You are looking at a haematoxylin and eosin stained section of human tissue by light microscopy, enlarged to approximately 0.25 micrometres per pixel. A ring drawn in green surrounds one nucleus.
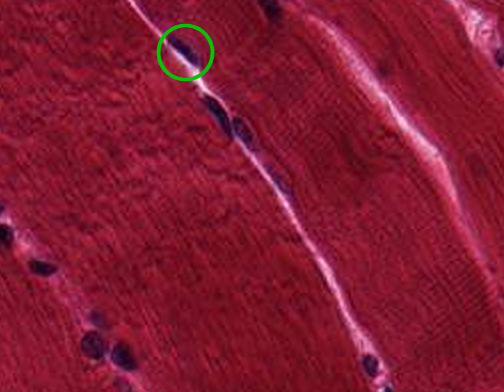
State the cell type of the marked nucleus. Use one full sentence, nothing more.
Within the picture, the marked nucleus belongs to a skeletal muscle fibre.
